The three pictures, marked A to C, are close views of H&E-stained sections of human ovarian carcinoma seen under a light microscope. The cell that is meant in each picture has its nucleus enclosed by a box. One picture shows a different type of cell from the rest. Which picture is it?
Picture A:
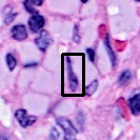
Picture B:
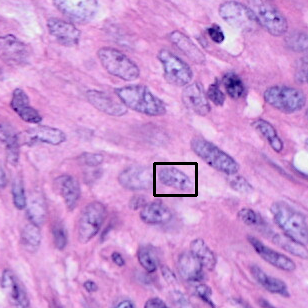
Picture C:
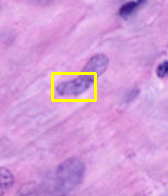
C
